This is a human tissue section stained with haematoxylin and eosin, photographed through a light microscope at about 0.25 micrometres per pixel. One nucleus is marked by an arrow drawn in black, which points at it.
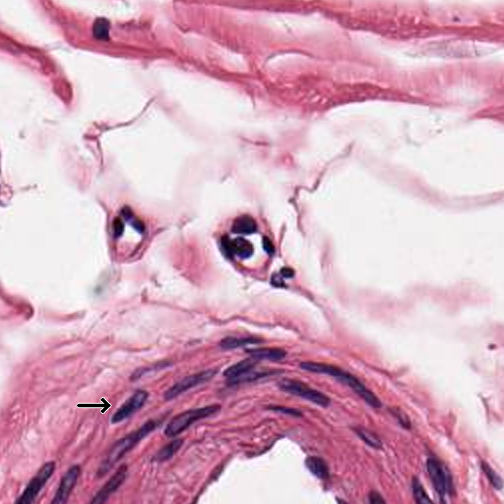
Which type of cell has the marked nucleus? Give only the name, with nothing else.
smooth muscle cell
